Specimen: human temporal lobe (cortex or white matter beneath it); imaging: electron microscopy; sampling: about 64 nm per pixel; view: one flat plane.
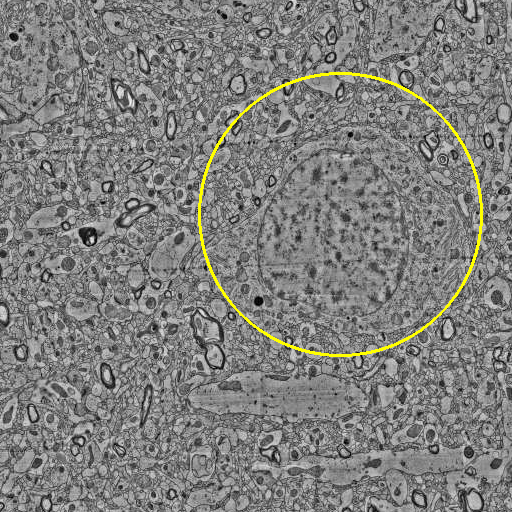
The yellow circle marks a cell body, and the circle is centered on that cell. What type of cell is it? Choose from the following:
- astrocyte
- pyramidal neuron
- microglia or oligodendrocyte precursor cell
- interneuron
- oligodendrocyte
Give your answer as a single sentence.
This cell body belongs to an interneuron.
